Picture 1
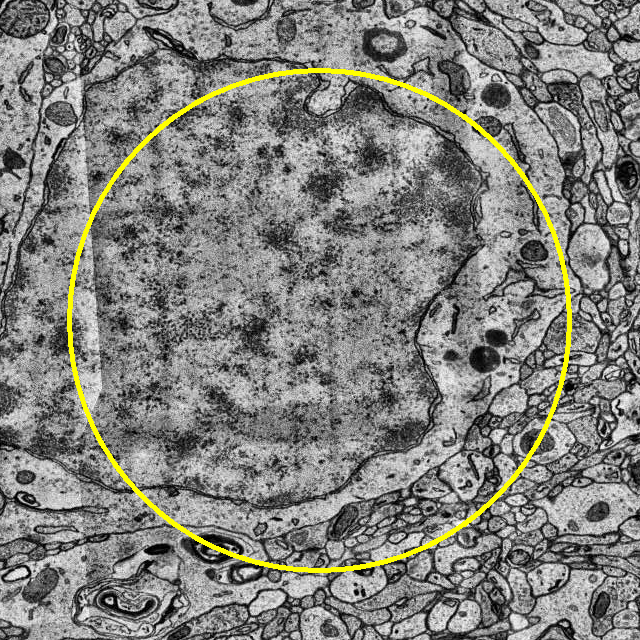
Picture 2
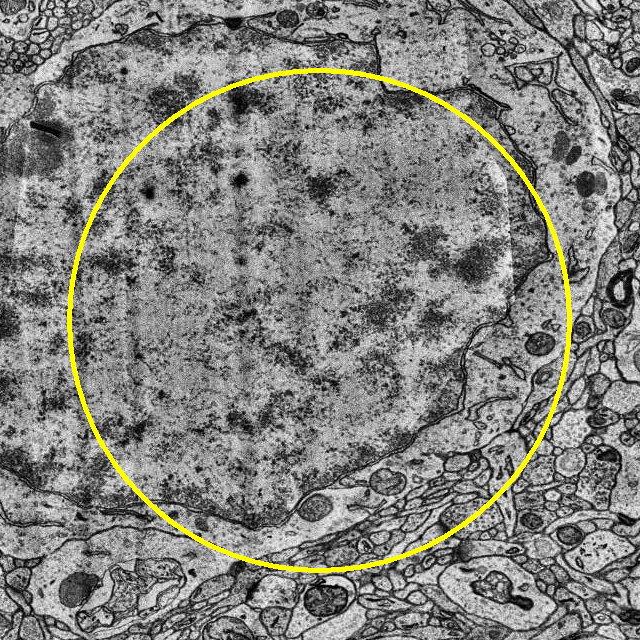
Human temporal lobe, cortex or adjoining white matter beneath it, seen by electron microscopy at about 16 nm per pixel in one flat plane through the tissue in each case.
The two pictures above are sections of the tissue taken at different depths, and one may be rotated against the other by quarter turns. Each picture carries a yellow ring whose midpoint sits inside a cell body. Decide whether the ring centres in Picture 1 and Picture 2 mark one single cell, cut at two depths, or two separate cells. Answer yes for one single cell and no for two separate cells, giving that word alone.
yes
